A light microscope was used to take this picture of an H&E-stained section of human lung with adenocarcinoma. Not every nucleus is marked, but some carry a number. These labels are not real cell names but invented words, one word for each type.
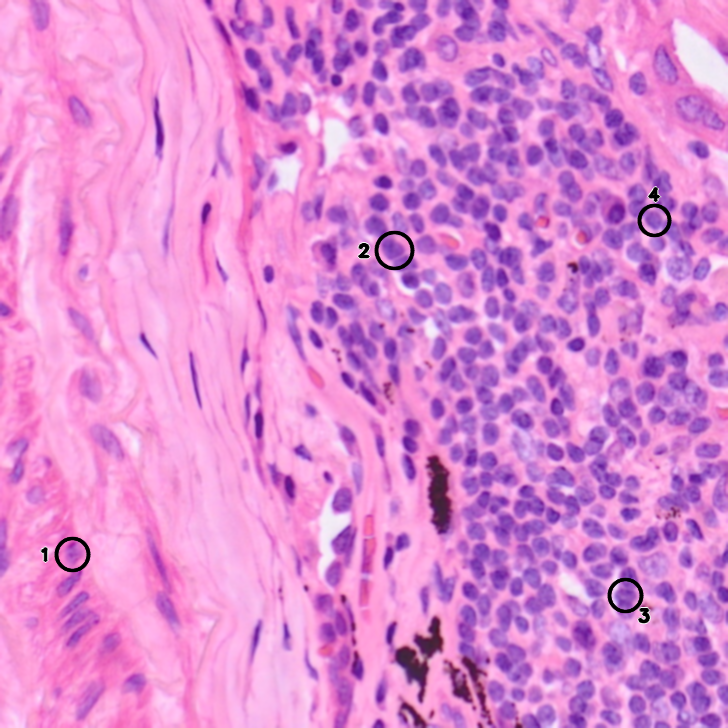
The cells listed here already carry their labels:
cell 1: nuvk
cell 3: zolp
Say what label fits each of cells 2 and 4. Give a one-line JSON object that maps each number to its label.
{"2": "zolp", "4": "zolp"}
